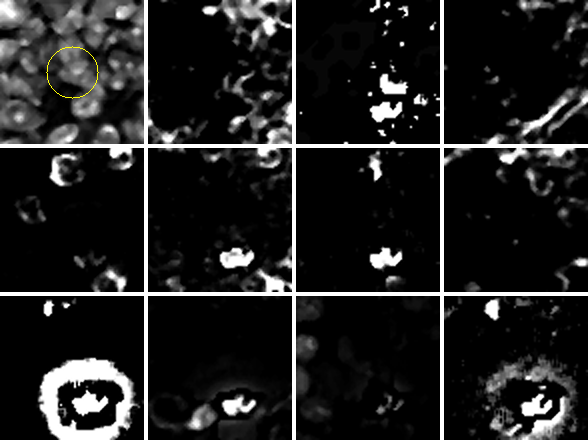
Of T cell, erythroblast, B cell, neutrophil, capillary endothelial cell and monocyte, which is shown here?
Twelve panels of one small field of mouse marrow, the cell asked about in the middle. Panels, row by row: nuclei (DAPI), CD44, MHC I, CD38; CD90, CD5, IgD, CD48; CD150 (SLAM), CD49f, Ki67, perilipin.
erythroblast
